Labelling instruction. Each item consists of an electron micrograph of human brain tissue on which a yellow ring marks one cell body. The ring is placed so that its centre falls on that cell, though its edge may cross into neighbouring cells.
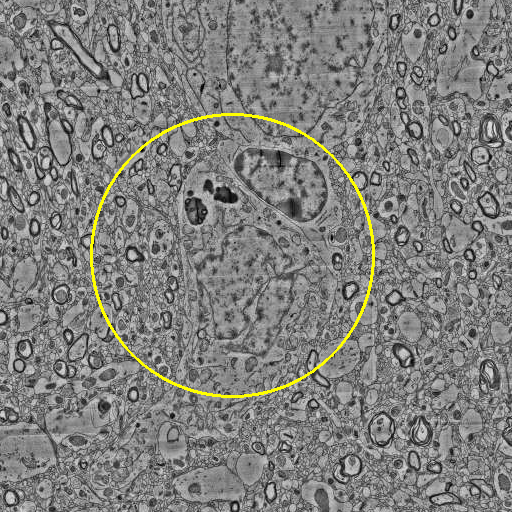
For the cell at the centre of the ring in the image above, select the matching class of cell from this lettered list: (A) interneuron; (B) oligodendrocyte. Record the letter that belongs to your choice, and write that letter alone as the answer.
A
